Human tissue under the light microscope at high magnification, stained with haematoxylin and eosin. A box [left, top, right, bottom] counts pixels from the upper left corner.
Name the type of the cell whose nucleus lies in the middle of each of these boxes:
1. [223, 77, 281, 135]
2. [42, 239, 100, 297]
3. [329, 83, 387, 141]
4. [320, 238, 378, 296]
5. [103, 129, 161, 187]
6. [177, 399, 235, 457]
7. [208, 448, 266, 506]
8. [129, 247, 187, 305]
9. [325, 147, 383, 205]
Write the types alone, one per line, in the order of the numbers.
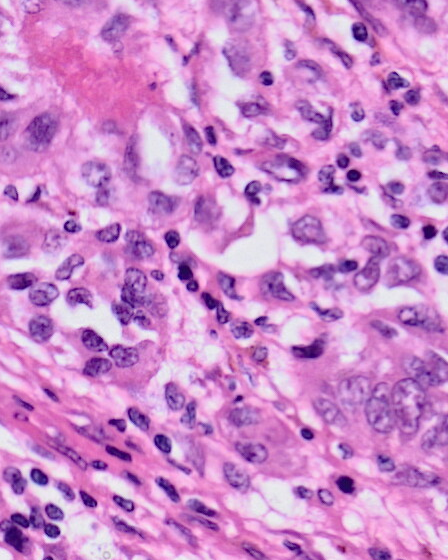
melanoma cell
melanoma cell
lymphocyte
lymphocyte
melanoma cell
lymphocyte
melanoma cell
lymphocyte
lymphocyte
